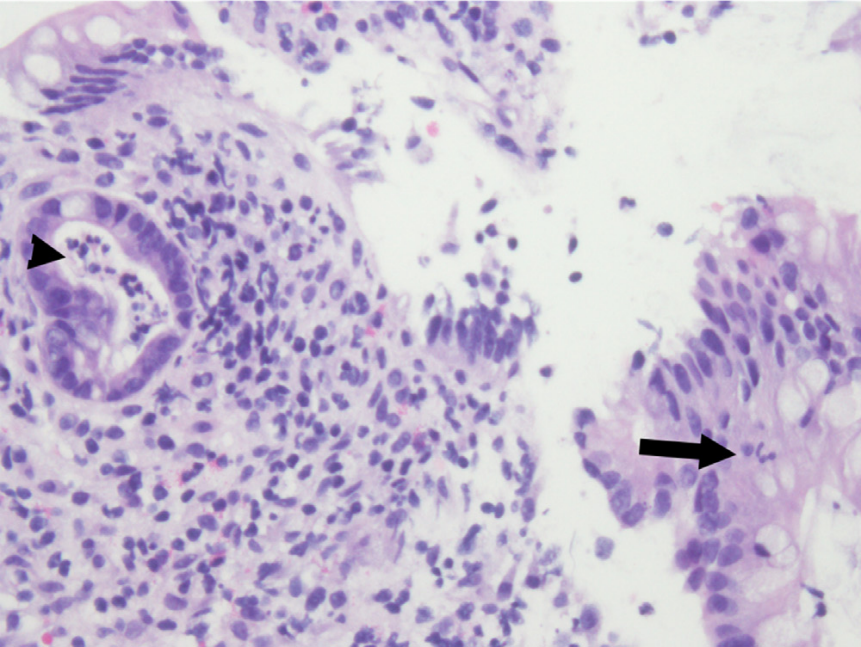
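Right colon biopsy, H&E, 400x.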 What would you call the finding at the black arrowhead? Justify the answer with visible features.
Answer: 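The arrowhead marks a crypt lumen filled with clustered small lobed nuclei. The crypt is surrounded by its epithelial lining and inflamed stroma.
Hence: crypt abscesses.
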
